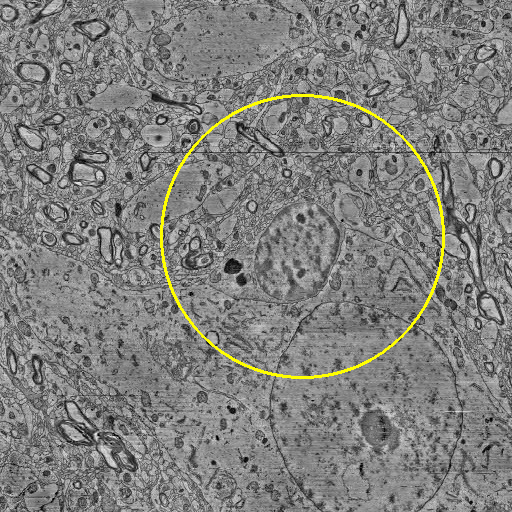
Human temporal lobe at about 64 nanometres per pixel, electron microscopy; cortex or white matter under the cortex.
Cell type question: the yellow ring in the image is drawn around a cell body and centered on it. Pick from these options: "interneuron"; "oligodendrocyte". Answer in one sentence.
The ringed cell at the center is an oligodendrocyte.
